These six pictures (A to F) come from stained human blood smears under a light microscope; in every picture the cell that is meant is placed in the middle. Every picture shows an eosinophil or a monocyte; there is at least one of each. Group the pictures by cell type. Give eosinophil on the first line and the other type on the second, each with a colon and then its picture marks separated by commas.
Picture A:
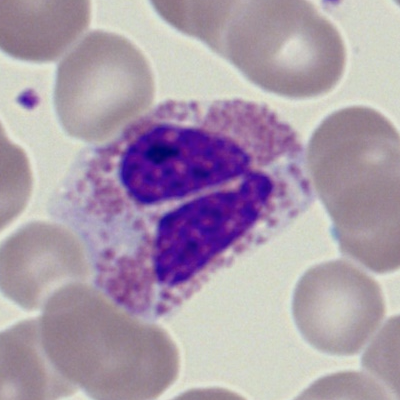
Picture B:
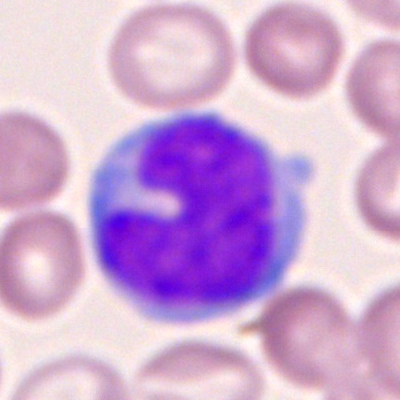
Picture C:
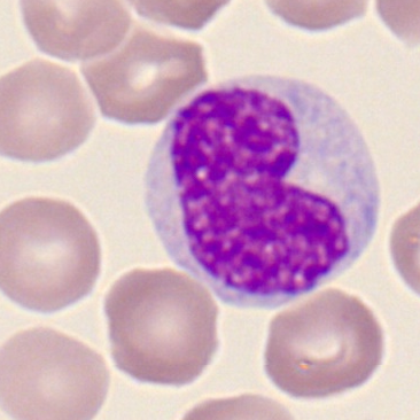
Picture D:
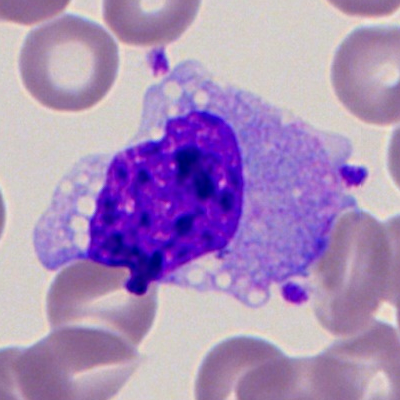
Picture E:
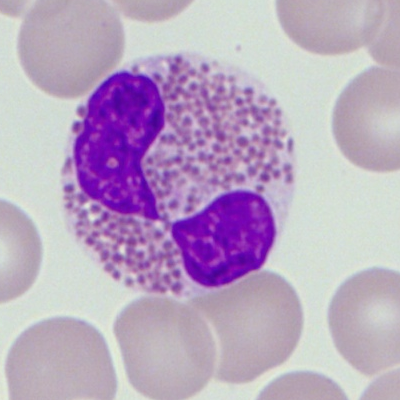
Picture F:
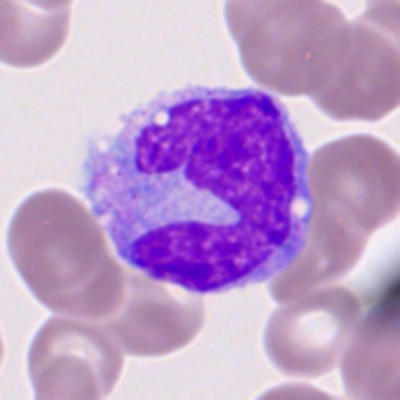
eosinophil: A, E
monocyte: B, C, D, F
